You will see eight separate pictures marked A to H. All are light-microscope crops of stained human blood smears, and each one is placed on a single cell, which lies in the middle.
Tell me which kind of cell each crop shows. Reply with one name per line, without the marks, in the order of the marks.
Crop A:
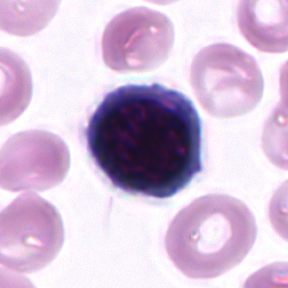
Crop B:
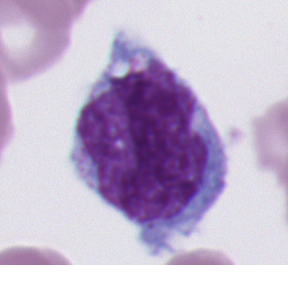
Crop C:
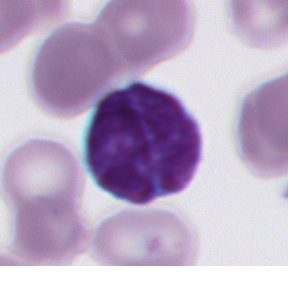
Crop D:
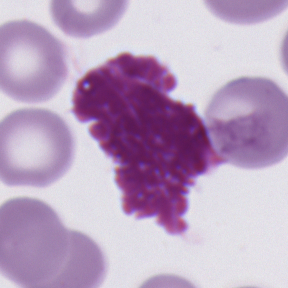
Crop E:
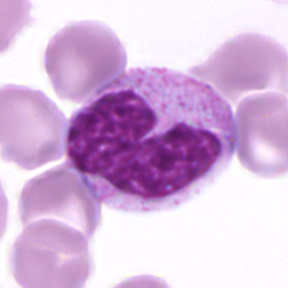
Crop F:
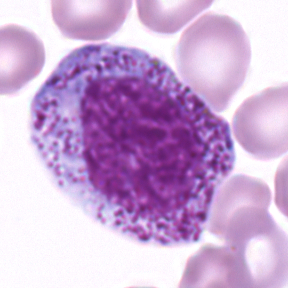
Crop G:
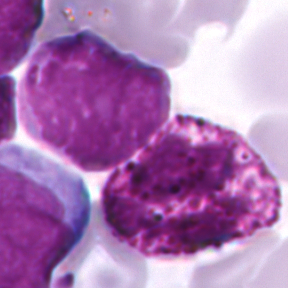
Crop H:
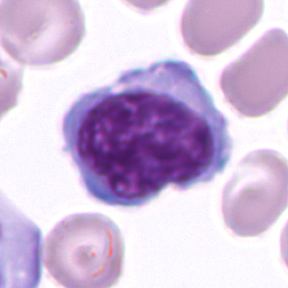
erythroblast
monocyte
typical lymphocyte
smudge cell
band neutrophil
promyelocyte
basophil
plasma cell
